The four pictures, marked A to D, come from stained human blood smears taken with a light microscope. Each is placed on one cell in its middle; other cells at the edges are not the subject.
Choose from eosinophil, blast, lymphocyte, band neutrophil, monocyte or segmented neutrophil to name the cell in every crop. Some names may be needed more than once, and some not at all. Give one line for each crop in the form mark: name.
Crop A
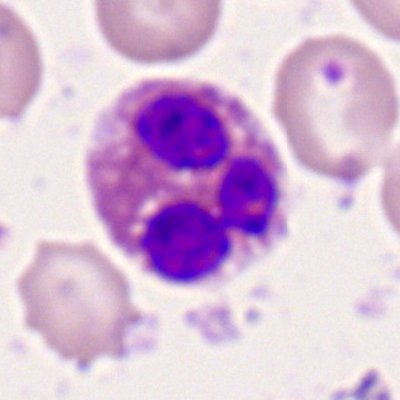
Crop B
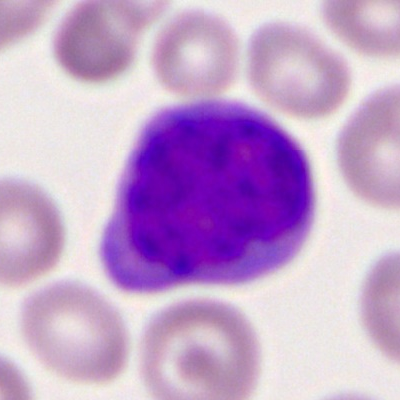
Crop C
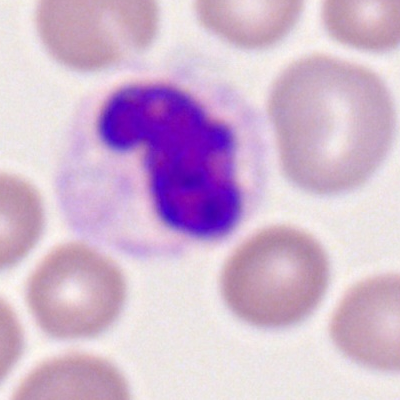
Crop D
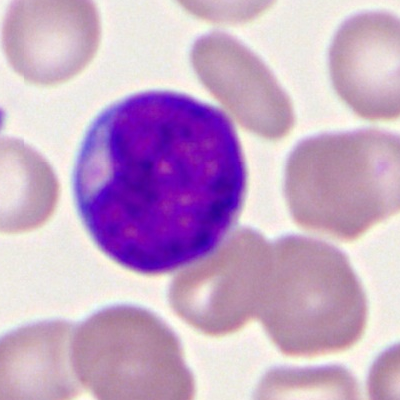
A: eosinophil
B: blast
C: segmented neutrophil
D: blast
